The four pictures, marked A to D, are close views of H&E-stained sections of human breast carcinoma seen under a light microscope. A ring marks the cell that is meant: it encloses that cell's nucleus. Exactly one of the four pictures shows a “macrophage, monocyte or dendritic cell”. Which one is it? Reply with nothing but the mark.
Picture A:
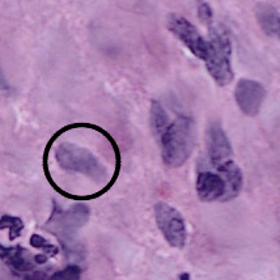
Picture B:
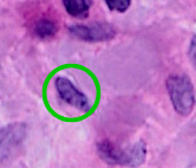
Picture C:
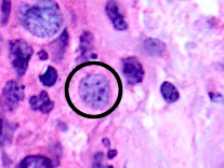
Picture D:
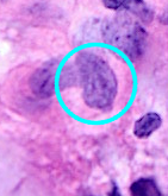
C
